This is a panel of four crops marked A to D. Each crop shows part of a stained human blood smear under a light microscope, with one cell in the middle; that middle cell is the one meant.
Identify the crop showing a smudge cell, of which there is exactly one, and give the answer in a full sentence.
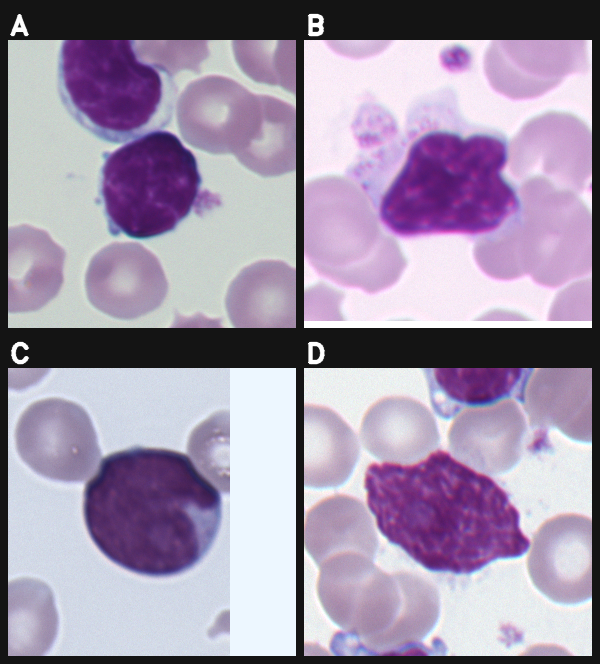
Of all the crops, crop D is the one showing a smudge cell.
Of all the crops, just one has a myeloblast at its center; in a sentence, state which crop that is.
The one crop that shows a myeloblast is crop C.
